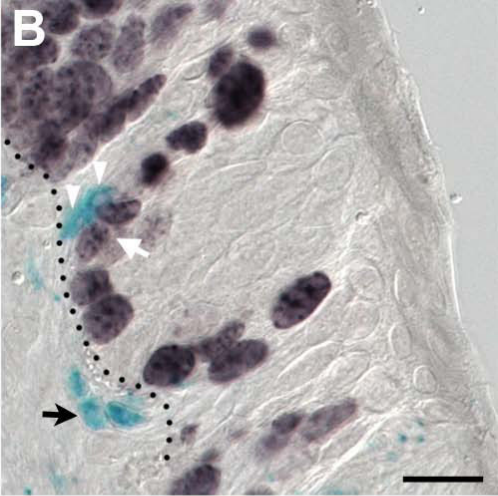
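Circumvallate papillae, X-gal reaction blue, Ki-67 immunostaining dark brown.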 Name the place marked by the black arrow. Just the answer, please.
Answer: mesenchyme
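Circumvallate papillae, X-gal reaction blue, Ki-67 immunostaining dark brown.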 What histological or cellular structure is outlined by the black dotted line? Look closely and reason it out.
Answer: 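Basement membrane. The dotted line runs along the base of a layer of packed epithelial cells. Below the line lies looser connective tissue with scattered cells.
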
